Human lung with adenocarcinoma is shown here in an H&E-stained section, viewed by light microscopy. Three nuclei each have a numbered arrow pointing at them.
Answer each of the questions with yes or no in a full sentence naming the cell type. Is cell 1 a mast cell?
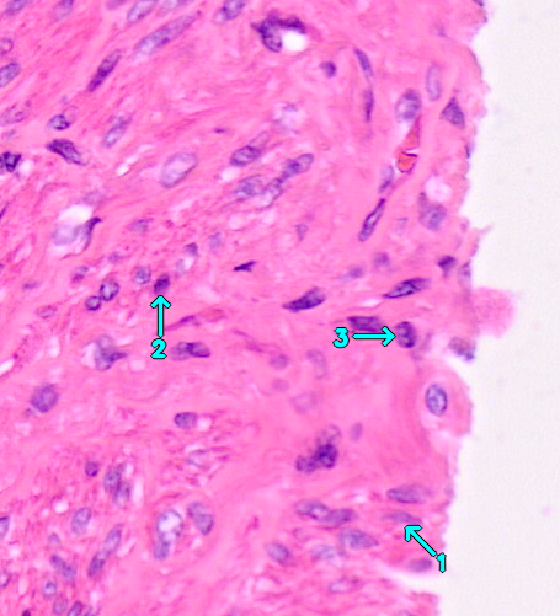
No, a smooth muscle cell or pericyte is what cell 1 is, not a mast cell.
